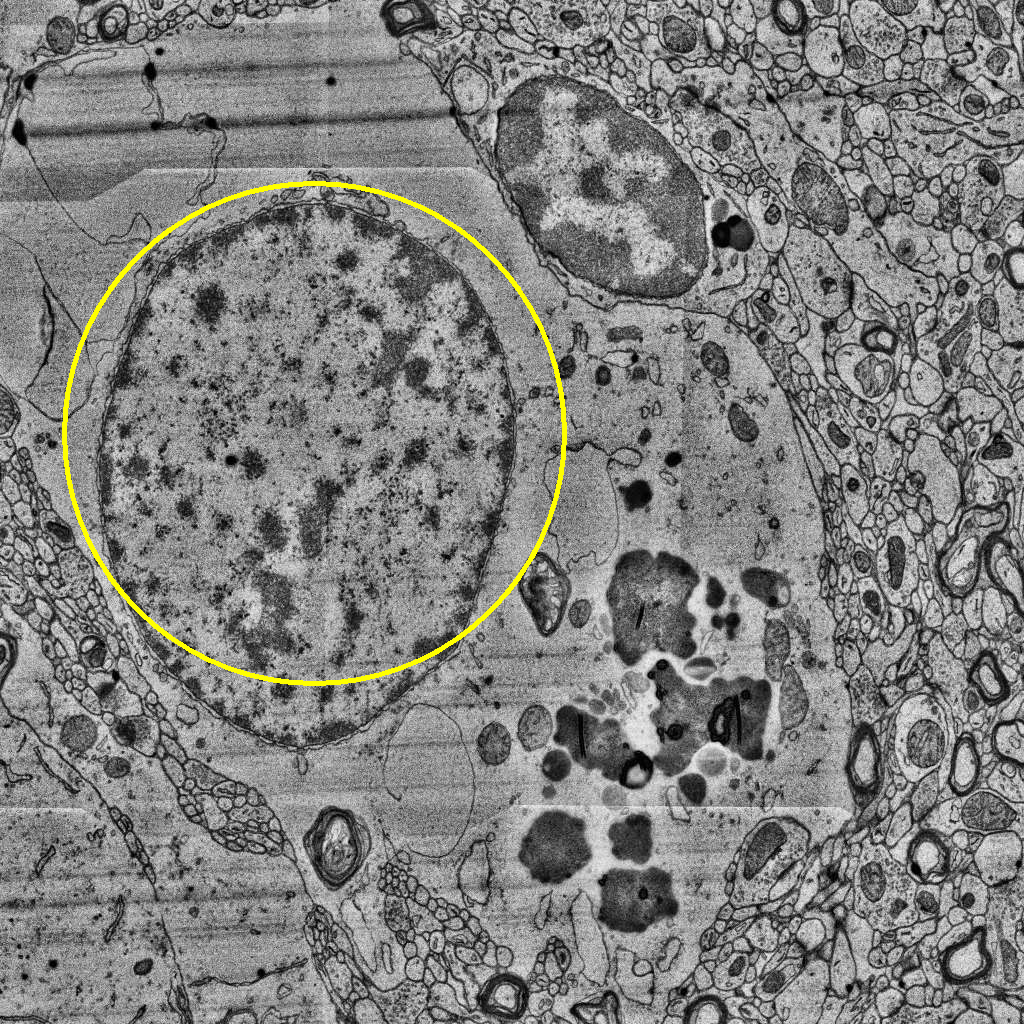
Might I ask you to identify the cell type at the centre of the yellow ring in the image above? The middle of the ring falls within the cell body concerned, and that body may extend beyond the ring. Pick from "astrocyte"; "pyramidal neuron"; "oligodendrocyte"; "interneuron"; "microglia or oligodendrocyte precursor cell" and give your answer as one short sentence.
The centre of the ring falls on an astrocyte.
